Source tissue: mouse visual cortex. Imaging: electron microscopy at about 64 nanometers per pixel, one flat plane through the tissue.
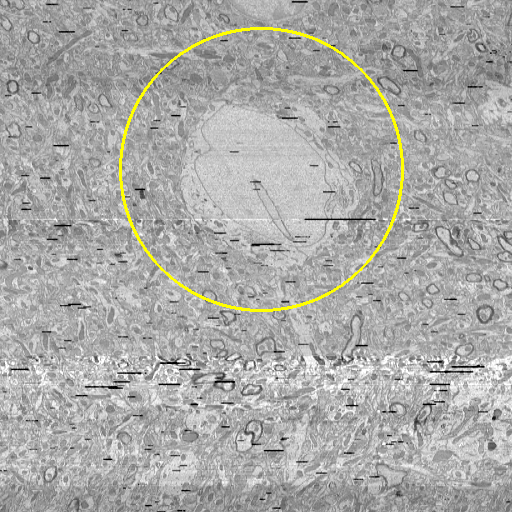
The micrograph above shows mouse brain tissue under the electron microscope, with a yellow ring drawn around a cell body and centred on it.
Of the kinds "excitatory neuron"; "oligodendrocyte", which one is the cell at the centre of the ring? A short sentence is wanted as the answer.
The one at the centre of the ring is an excitatory neuron.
